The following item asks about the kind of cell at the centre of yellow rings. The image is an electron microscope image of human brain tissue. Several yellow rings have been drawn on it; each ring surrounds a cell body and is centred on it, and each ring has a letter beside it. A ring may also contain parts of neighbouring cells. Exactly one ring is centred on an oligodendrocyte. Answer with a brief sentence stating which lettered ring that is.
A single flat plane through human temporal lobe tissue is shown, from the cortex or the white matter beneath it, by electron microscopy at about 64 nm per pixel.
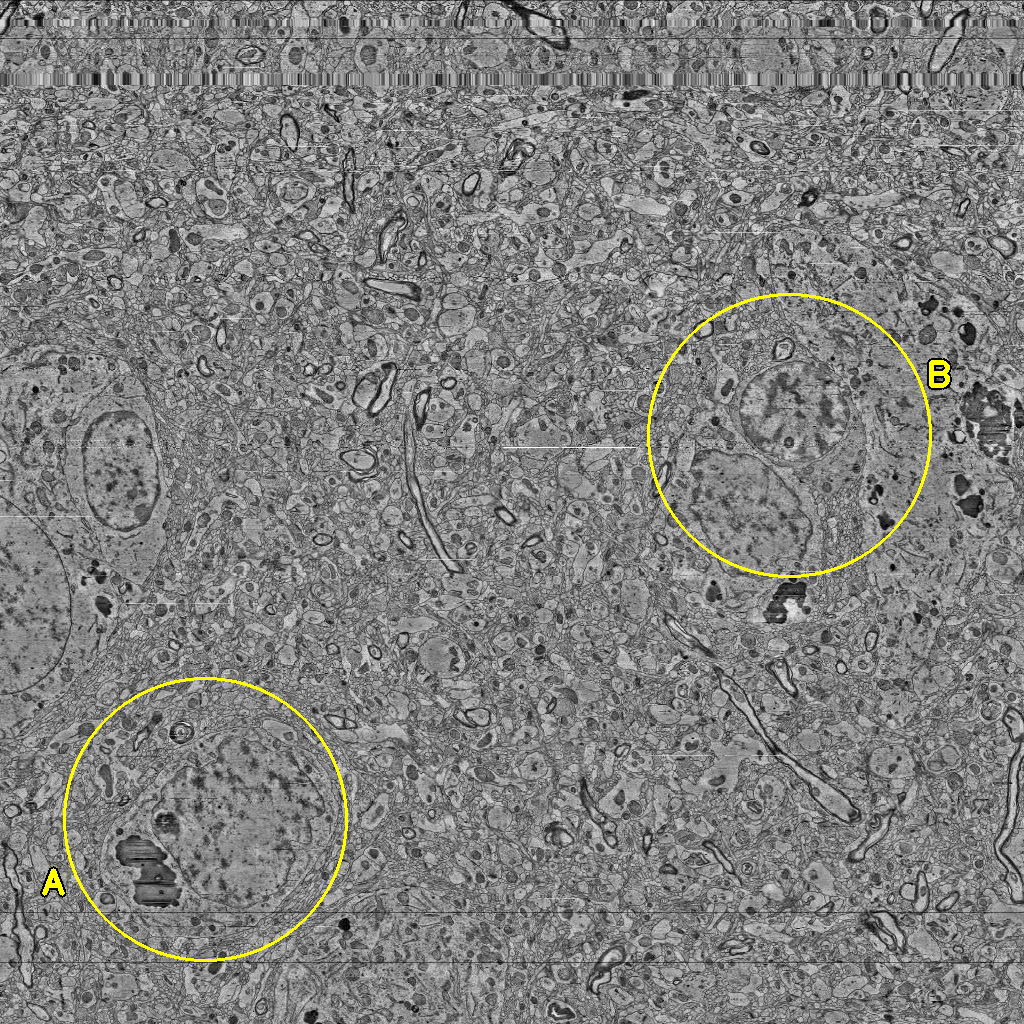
That is ring B.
